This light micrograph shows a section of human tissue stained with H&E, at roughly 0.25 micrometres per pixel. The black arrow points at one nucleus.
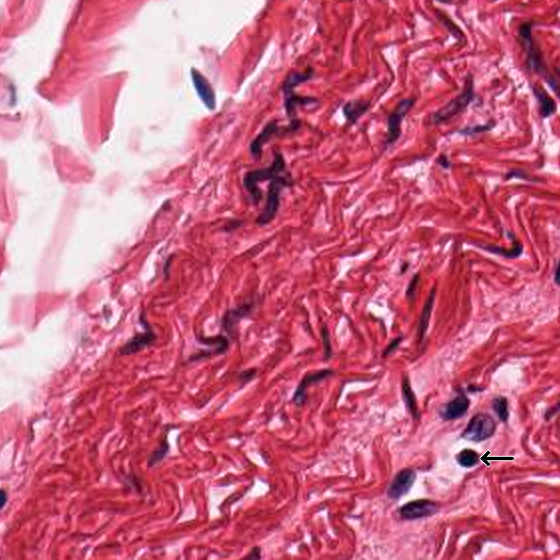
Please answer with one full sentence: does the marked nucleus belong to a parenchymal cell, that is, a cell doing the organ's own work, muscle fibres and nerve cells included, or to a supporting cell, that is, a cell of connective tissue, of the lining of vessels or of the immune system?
The marked nucleus in this section is part of a supporting cell.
